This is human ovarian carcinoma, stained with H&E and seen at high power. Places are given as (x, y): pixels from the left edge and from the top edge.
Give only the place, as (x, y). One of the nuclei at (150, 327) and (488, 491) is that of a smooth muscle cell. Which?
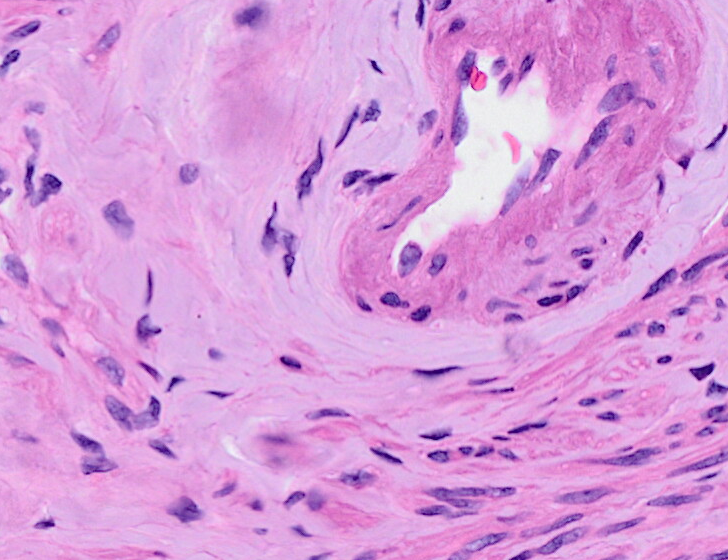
(488, 491)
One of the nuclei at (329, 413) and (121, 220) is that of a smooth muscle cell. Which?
(329, 413)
